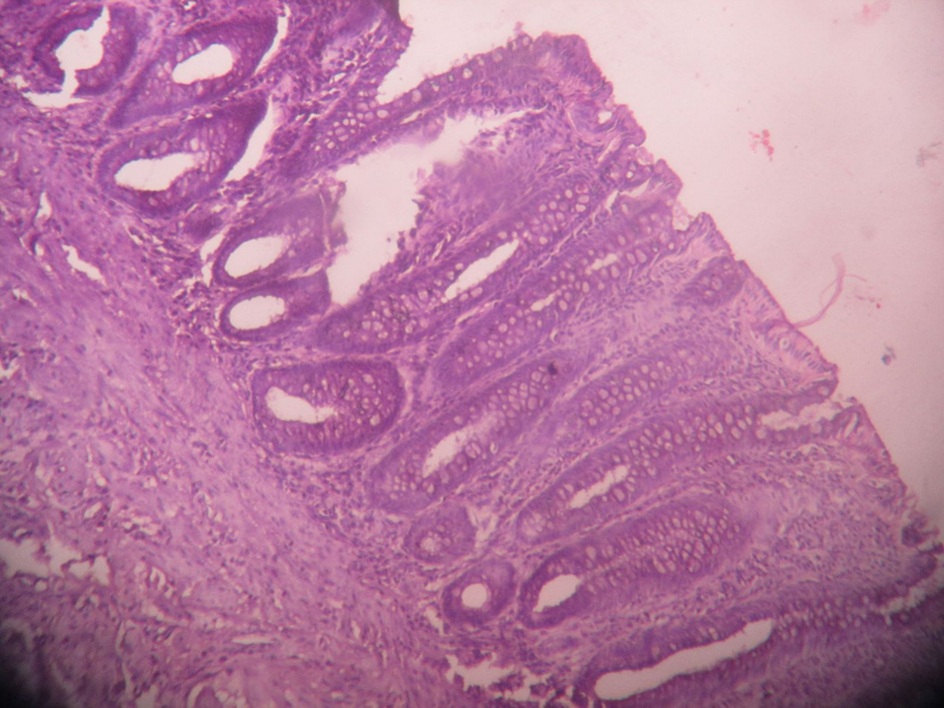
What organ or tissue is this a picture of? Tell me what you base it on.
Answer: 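Straight, parallel tubular glands run perpendicular to the surface. Glands are packed with pale, rounded mucin vacuoles. No villi are seen on the surface.
Conclusion: colonic tissues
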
